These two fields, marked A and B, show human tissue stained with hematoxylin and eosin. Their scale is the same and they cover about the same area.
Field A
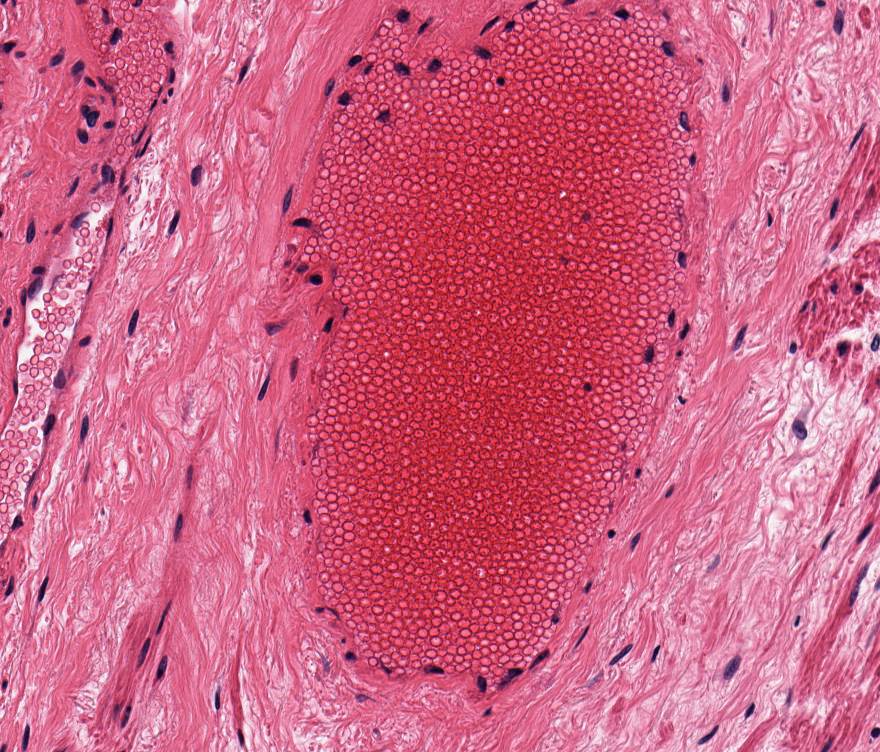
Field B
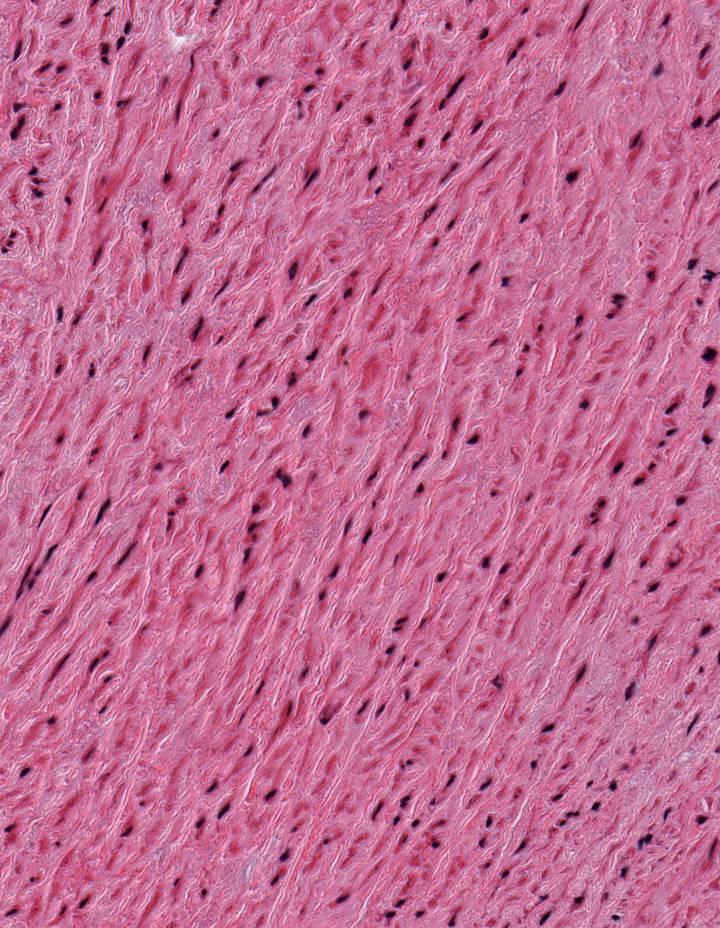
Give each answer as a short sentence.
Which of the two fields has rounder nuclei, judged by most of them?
On the whole the nuclei of field B are rounder than those of field A.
